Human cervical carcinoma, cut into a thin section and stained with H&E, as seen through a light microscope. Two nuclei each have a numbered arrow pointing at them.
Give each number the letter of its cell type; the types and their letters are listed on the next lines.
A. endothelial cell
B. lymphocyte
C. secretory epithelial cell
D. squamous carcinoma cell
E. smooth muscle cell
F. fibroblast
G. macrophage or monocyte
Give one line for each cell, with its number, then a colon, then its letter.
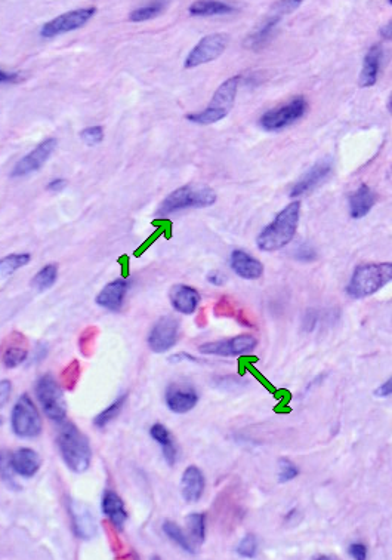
1: F
2: A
